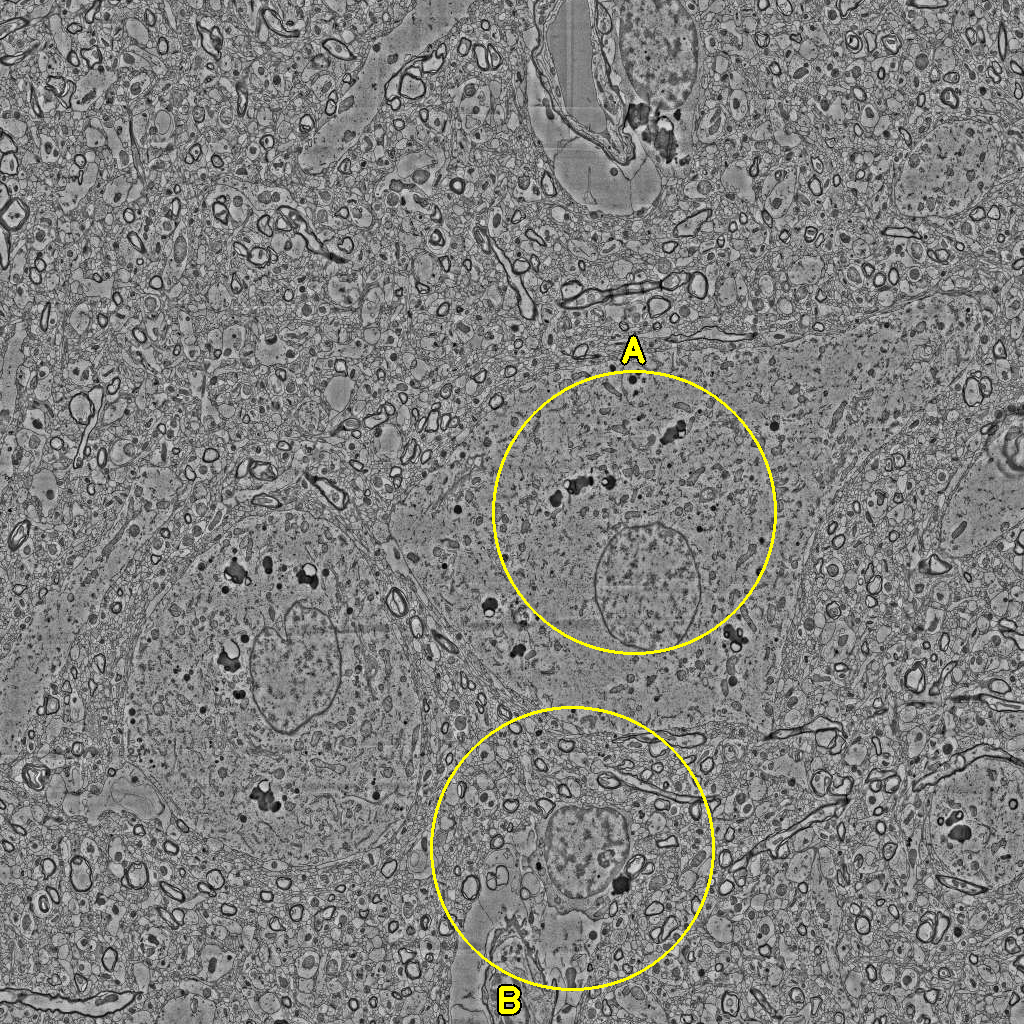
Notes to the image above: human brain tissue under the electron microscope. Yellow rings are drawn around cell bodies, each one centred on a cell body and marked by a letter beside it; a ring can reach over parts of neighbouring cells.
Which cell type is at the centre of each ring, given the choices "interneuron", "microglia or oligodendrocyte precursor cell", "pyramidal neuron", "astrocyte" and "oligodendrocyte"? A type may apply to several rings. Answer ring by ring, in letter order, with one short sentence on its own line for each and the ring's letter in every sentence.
Inside ring A, at its centre, is a pyramidal neuron.
Inside ring B, at its centre, is an oligodendrocyte.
